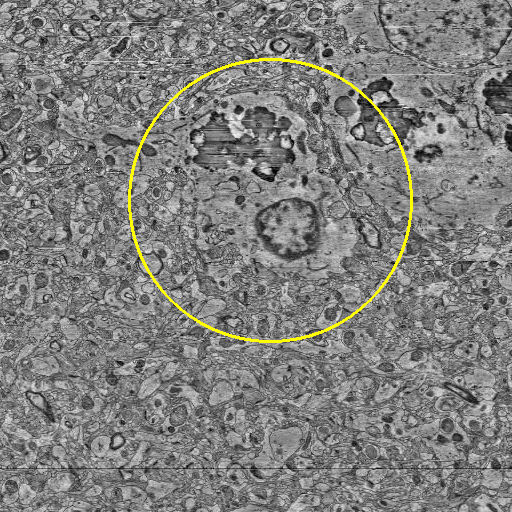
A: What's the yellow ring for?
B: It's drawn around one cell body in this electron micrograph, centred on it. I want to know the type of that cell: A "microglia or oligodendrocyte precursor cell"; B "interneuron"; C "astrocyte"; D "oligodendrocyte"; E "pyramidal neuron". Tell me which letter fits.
C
